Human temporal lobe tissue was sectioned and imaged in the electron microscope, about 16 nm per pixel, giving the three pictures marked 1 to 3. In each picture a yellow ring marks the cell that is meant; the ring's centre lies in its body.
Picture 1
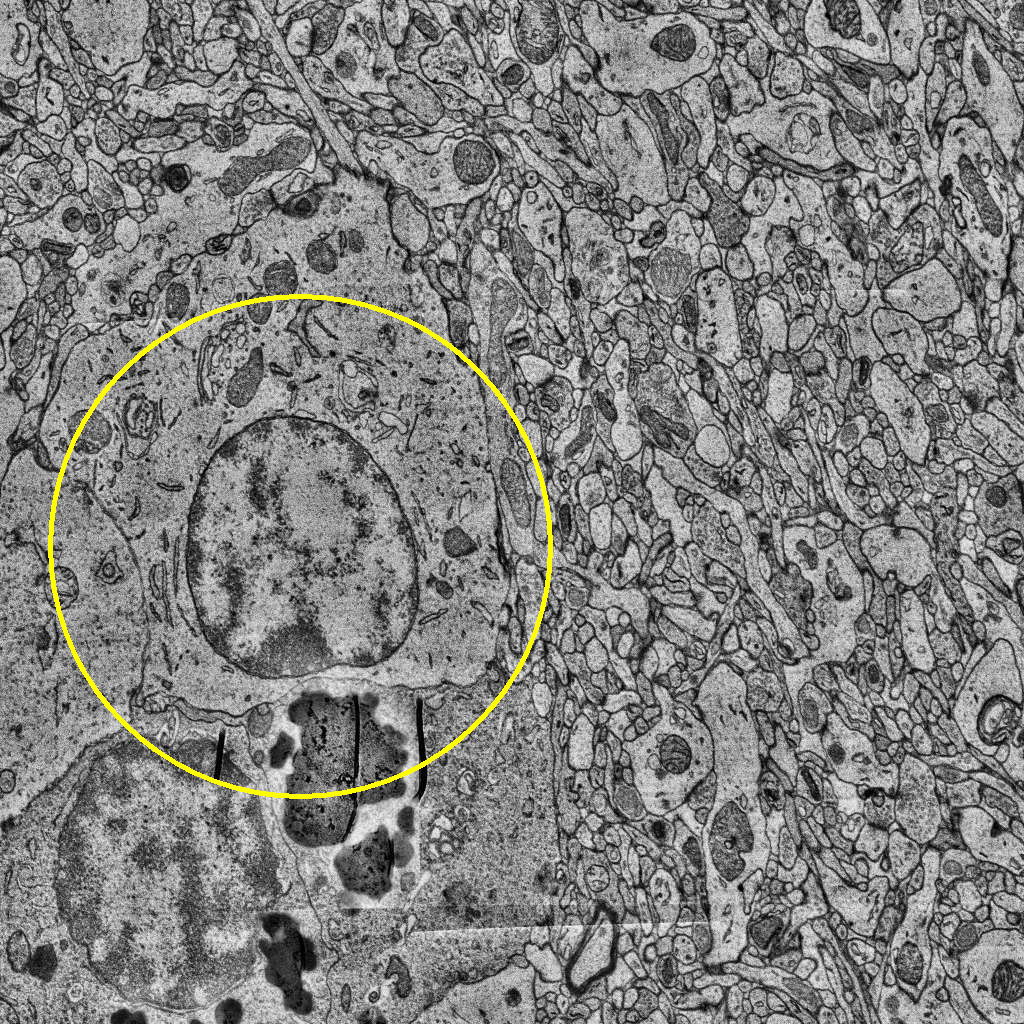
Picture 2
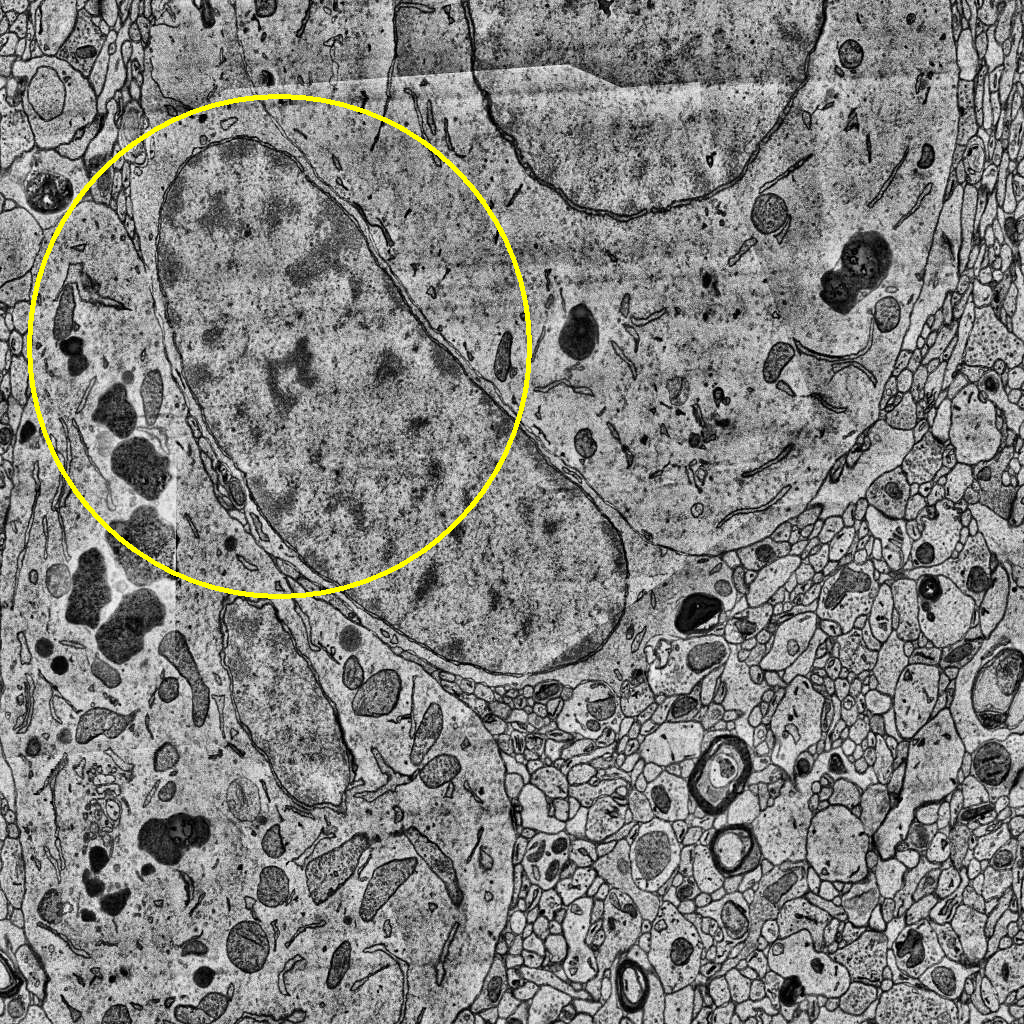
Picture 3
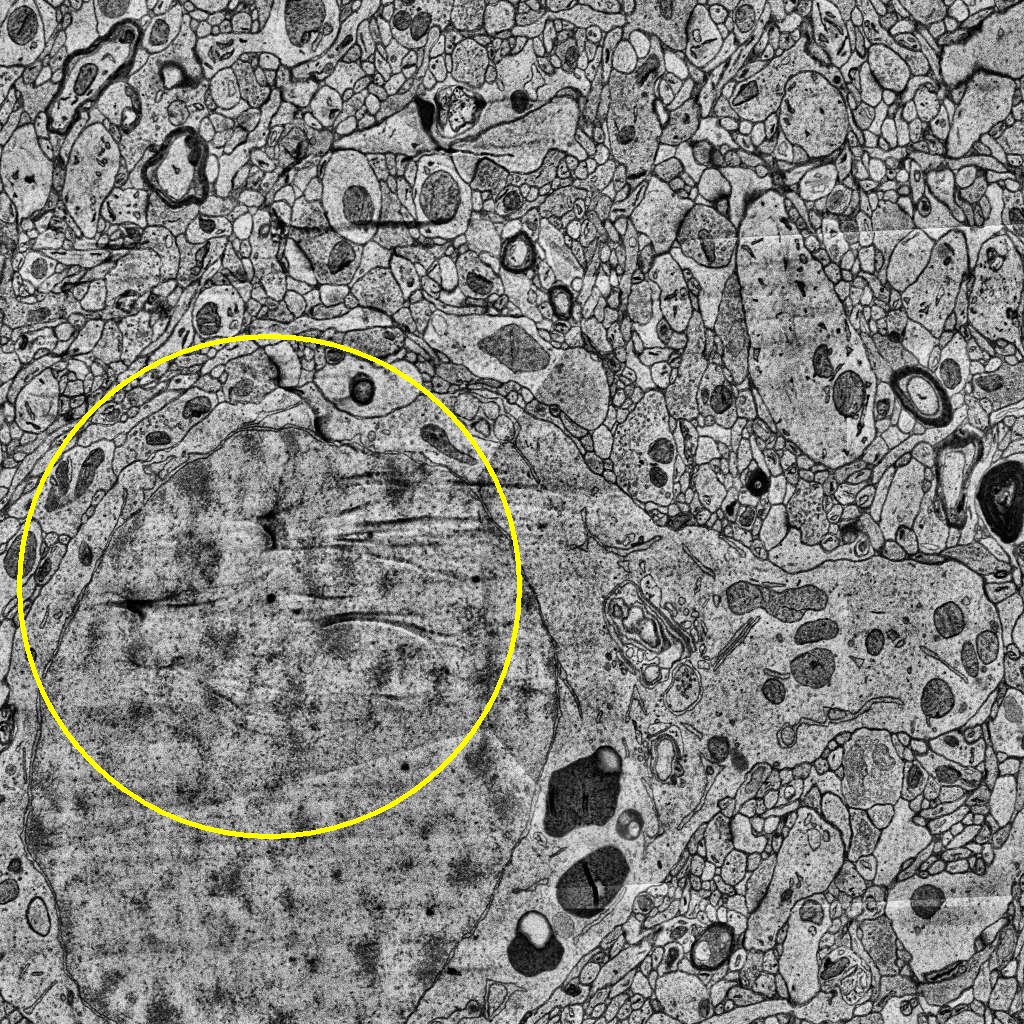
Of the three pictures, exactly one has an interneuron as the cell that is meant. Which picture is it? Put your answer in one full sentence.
The interneuron is the one in picture 3.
